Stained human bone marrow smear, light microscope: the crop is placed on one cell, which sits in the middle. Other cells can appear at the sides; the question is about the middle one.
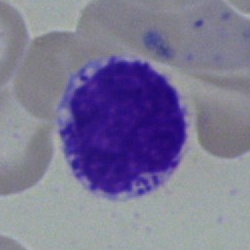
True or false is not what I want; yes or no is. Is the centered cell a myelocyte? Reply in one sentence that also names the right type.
Yes, the cell in the middle is rightly called a myelocyte.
